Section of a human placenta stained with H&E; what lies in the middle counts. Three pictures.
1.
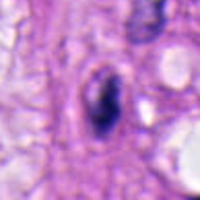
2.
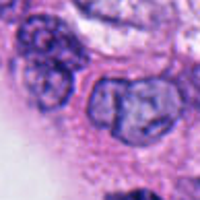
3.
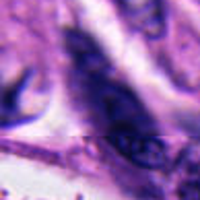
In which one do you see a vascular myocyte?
In picture 1.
